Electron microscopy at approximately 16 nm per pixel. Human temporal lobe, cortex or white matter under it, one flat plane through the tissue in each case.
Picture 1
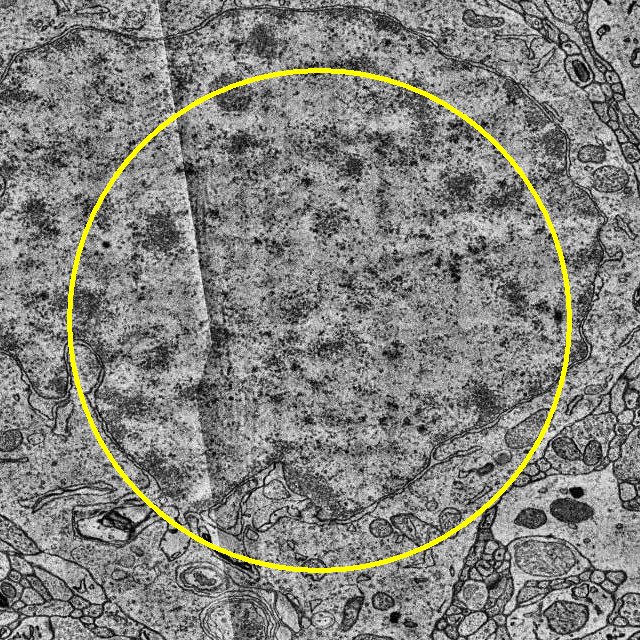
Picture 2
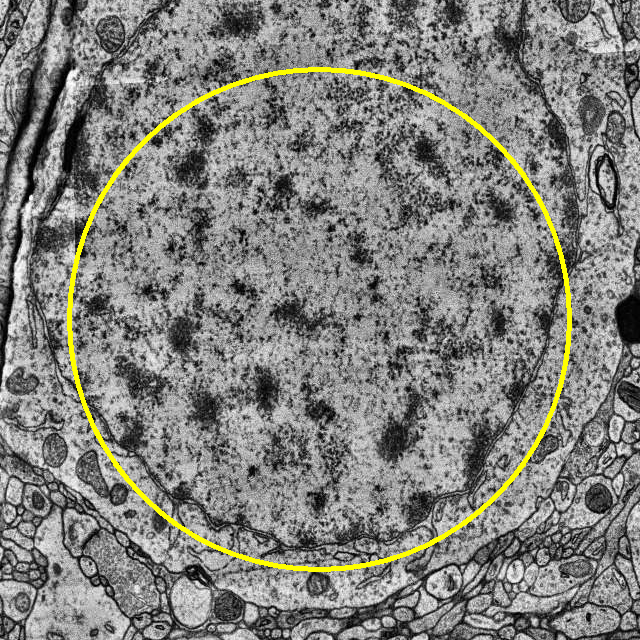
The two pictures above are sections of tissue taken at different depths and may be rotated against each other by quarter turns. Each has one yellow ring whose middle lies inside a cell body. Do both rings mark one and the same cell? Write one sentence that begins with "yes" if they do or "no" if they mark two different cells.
Yes, the cell marked in each ring is one and the same.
